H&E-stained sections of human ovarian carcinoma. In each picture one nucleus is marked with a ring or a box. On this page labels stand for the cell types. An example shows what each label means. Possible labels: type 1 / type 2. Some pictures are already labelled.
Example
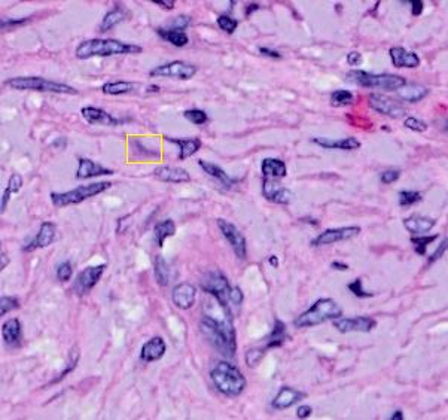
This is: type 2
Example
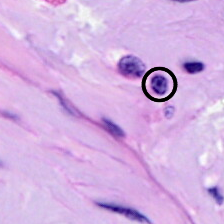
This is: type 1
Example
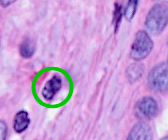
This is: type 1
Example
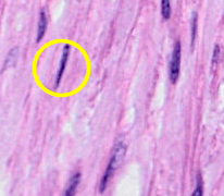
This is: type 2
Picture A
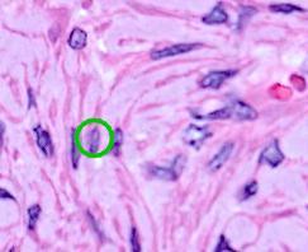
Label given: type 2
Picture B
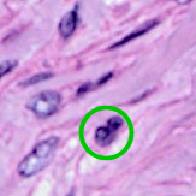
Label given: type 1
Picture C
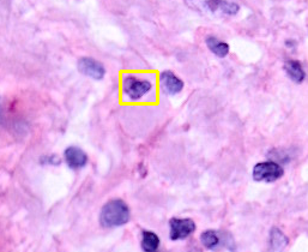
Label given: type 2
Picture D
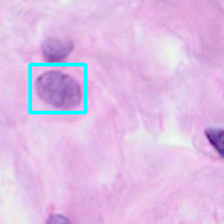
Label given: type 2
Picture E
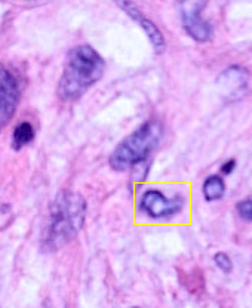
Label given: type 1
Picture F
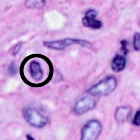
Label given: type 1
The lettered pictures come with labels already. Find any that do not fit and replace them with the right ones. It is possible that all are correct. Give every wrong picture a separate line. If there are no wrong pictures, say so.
C: change type 2 to type 1
E: change type 1 to type 2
